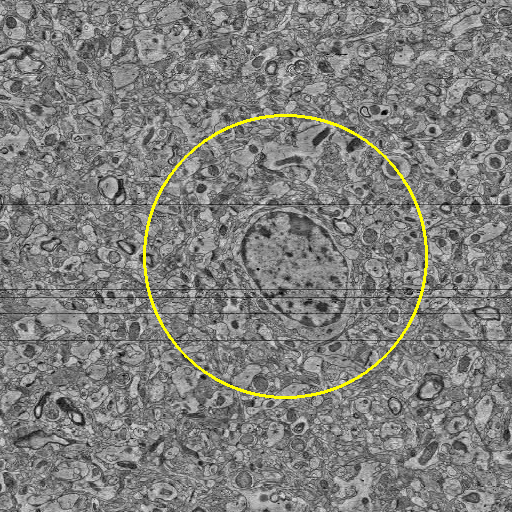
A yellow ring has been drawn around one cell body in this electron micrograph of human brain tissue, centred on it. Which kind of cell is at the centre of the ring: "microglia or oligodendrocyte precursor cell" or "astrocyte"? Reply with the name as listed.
microglia or oligodendrocyte precursor cell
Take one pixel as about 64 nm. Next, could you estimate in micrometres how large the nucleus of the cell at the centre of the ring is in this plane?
The nucleus works out at approximately 8 by 6 micrometres in this plane.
